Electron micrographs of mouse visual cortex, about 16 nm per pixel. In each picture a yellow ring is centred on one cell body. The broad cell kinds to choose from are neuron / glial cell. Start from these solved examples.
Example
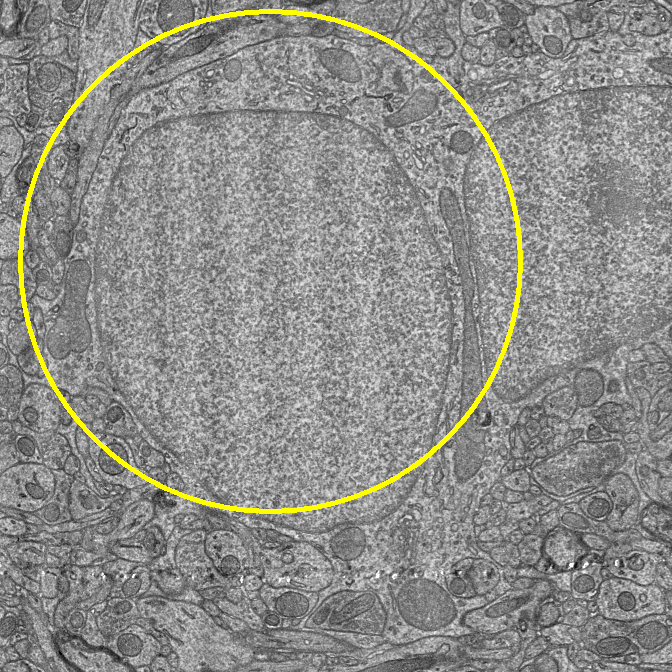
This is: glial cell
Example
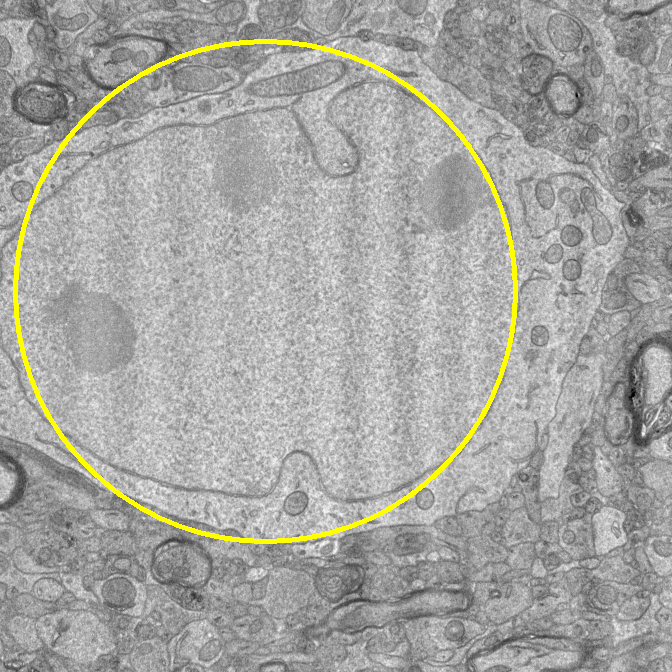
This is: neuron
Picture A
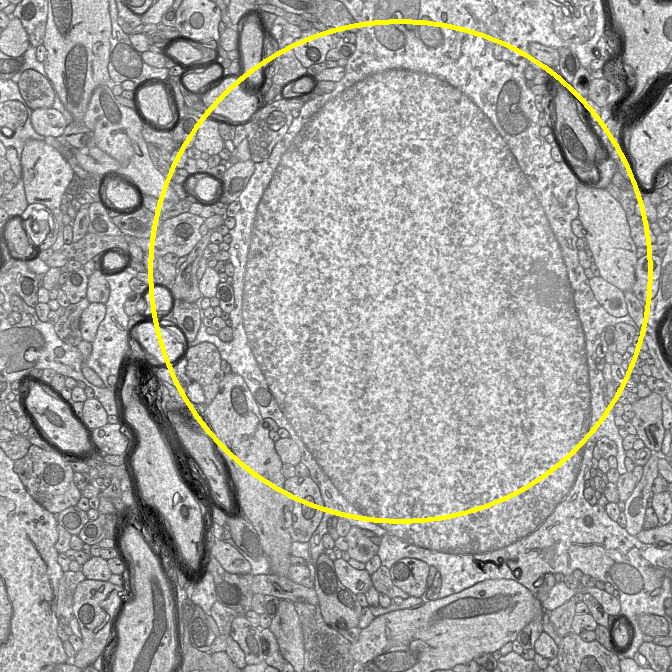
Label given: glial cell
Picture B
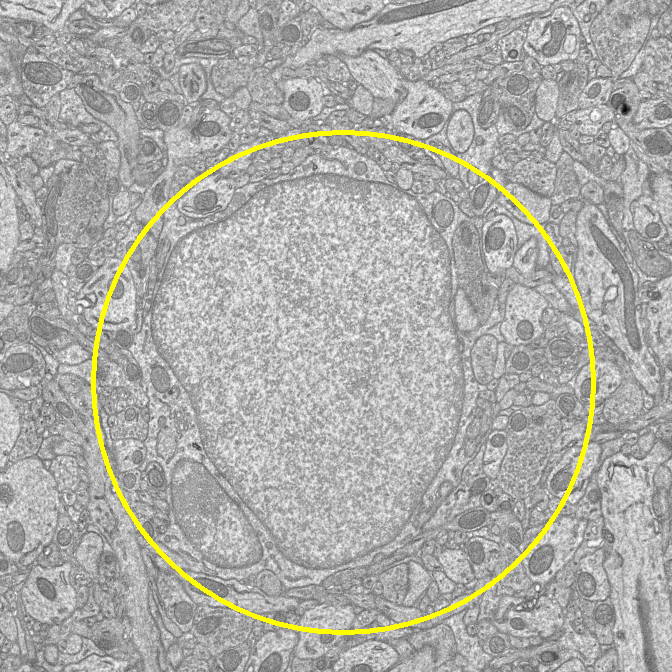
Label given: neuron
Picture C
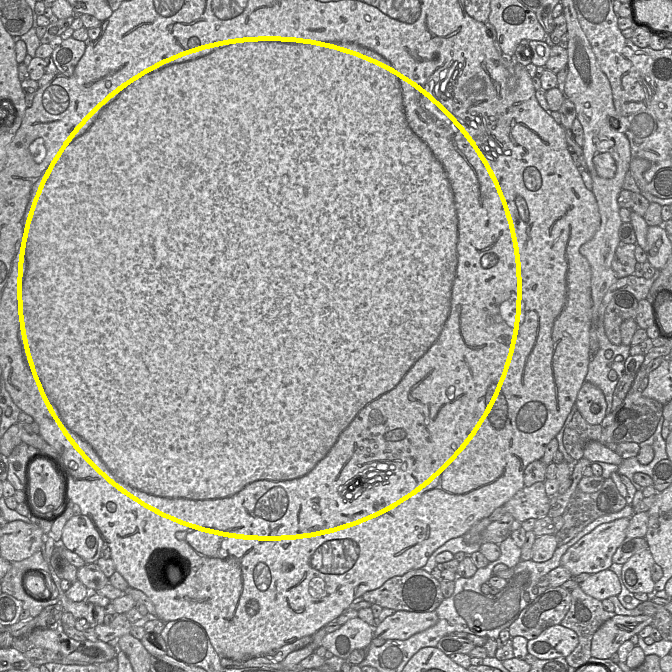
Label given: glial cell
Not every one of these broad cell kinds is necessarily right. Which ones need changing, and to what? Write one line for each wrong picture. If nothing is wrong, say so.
B should be glial cell, not neuron
C should be neuron, not glial cell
